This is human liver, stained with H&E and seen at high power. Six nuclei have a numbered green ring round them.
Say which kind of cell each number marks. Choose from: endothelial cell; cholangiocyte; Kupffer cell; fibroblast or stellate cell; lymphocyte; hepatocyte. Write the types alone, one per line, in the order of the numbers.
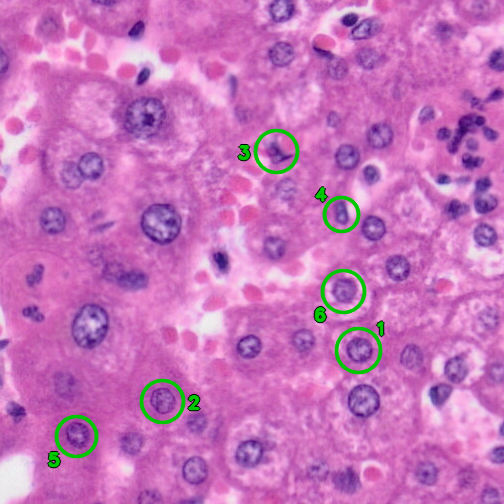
hepatocyte
hepatocyte
endothelial cell
fibroblast or stellate cell
hepatocyte
hepatocyte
